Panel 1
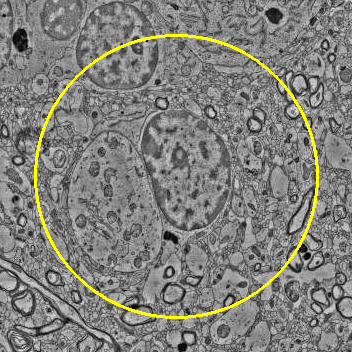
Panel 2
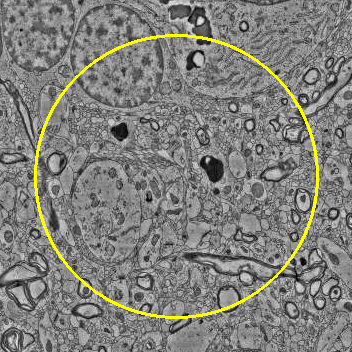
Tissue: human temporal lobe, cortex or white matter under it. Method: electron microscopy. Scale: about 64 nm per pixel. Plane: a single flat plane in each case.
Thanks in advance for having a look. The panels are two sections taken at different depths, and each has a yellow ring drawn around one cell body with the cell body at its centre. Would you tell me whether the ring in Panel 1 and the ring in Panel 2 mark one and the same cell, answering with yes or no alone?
yes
